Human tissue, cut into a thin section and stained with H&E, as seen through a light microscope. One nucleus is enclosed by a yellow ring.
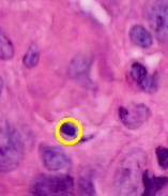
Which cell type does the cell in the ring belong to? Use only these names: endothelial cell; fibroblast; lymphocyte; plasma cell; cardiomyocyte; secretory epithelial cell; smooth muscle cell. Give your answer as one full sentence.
Within this tissue, the cell in the ring is a lymphocyte.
